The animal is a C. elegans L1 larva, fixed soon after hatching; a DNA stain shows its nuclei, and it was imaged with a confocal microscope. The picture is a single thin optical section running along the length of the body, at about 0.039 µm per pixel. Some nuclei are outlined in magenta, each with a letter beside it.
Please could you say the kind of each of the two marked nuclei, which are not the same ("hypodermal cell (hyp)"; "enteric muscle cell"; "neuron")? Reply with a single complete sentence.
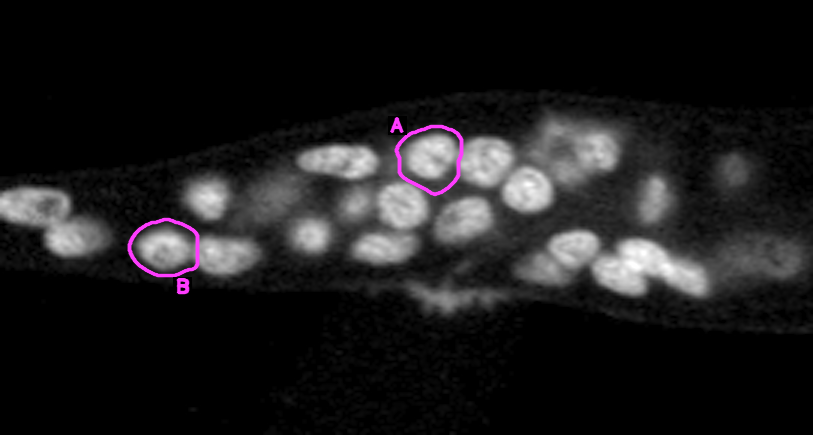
One is from an enteric muscle cell, namely A, and the other, B, is from a hypodermal cell (hyp).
